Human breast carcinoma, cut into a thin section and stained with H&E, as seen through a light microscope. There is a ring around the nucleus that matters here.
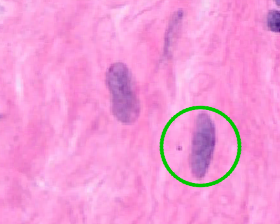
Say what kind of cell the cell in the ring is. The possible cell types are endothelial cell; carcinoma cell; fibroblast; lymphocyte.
fibroblast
